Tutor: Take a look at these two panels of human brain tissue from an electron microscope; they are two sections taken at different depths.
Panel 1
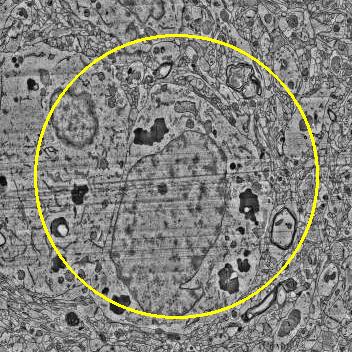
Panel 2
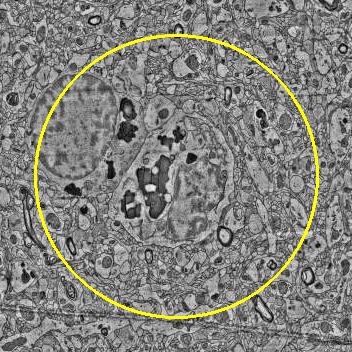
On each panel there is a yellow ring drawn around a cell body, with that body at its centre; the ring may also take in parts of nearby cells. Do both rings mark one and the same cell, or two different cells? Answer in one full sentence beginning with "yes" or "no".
No, the two yellow rings correspond to two separate cells.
